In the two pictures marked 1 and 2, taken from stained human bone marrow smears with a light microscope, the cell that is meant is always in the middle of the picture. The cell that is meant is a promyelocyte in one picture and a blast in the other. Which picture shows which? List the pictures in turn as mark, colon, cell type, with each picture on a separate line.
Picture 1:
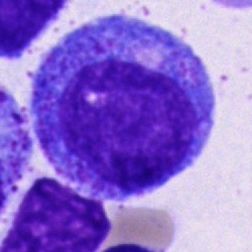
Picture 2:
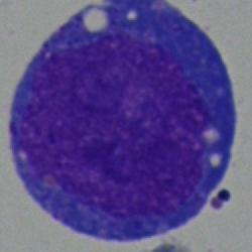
1: promyelocyte
2: blast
